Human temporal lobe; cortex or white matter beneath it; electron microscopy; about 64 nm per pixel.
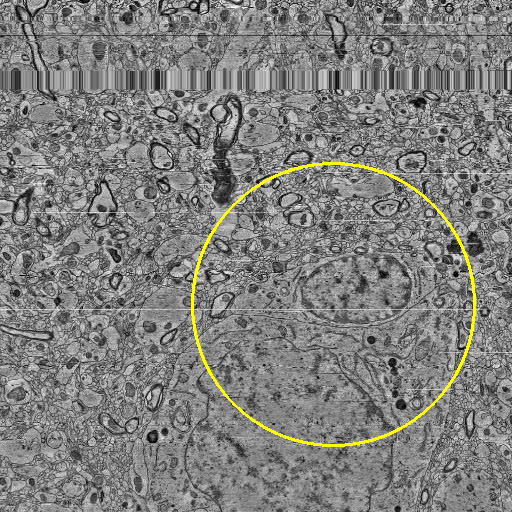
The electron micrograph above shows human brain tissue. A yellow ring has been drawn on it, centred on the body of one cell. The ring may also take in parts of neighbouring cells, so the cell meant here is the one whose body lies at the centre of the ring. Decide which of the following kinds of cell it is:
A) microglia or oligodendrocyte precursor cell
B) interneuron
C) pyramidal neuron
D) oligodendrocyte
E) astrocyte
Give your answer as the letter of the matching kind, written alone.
A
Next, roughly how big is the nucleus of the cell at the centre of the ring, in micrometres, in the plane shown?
In this plane the nucleus is roughly 7 by 5 micrometres, clearly longer than it is wide.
